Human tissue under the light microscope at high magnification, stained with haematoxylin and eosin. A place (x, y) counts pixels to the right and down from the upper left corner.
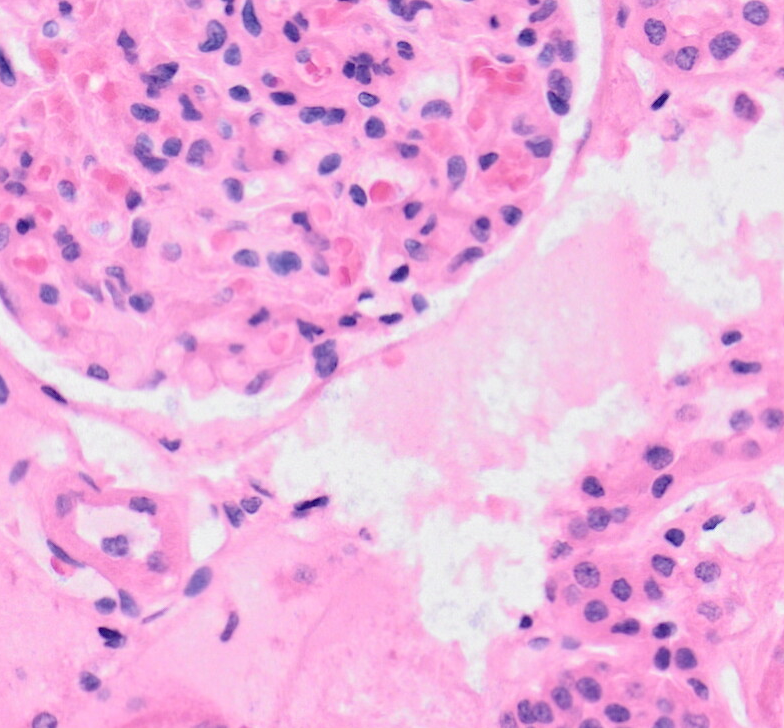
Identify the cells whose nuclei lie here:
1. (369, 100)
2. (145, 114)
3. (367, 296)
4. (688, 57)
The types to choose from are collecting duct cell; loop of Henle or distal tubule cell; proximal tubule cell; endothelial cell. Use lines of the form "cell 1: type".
cell 1: endothelial cell
cell 2: endothelial cell
cell 3: endothelial cell
cell 4: collecting duct cell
